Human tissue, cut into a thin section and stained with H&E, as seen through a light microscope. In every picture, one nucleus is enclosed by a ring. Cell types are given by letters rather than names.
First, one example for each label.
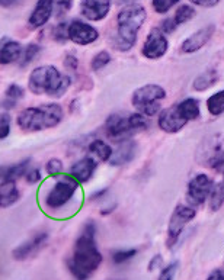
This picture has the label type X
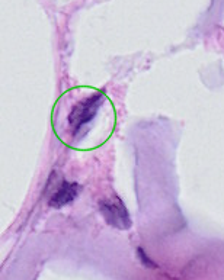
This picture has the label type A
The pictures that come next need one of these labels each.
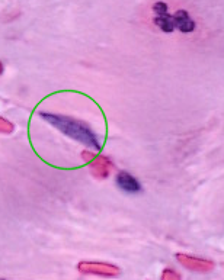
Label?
type A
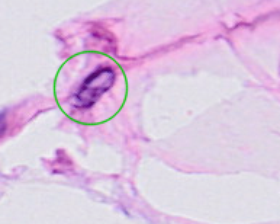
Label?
type A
